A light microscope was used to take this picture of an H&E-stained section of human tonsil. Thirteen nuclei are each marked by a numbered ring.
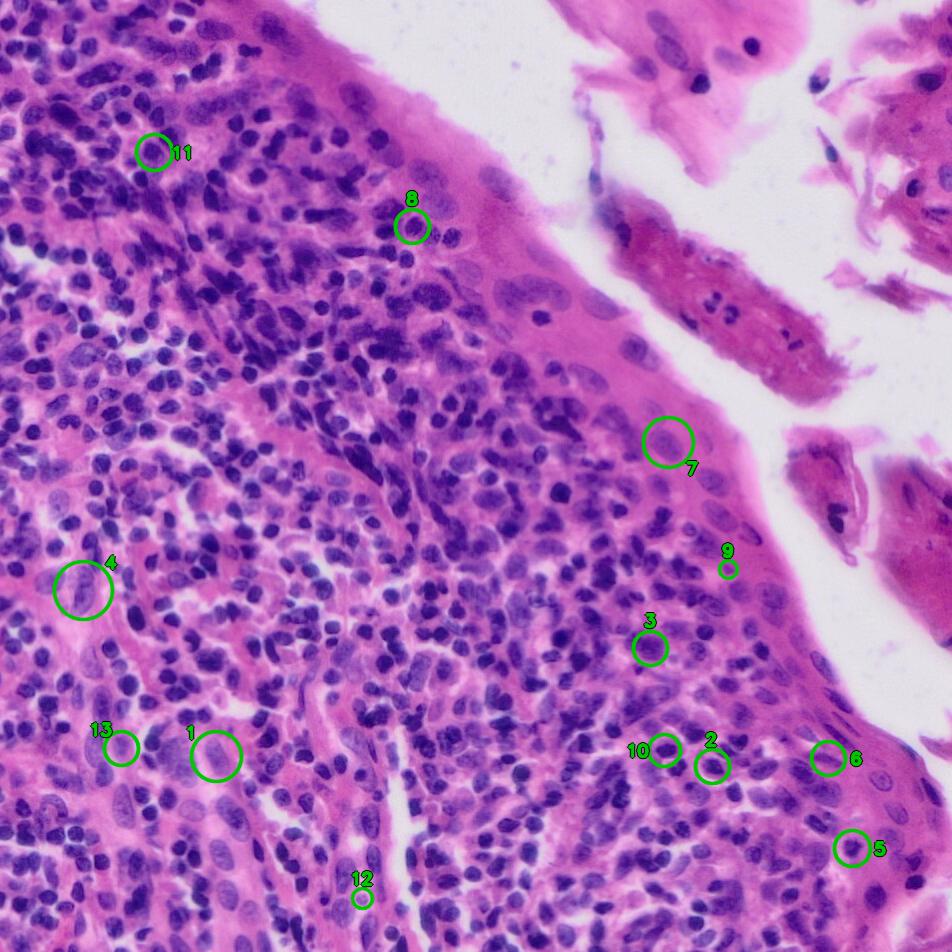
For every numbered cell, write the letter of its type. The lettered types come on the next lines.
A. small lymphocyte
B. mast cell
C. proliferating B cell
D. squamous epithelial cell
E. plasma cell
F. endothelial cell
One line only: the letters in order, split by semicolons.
F; E; D; F; D; D; D; D; D; E; D; F; F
